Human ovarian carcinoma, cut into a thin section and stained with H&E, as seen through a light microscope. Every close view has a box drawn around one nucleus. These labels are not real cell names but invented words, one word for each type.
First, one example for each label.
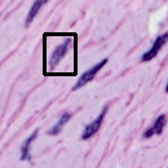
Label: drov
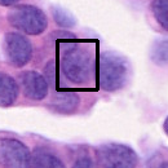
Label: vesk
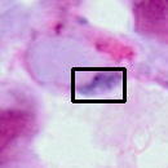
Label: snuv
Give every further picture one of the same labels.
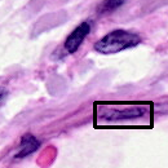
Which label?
snuv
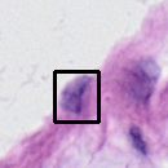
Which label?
snuv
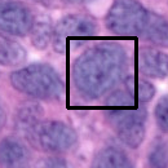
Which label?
vesk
